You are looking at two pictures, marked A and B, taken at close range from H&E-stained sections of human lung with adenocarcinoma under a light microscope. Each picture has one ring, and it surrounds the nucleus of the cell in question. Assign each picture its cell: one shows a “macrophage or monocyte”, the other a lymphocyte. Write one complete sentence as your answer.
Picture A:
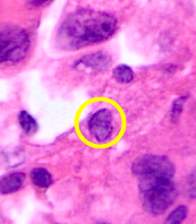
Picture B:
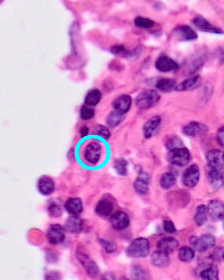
It is picture A that shows a “macrophage or monocyte”, and picture B that shows a lymphocyte.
